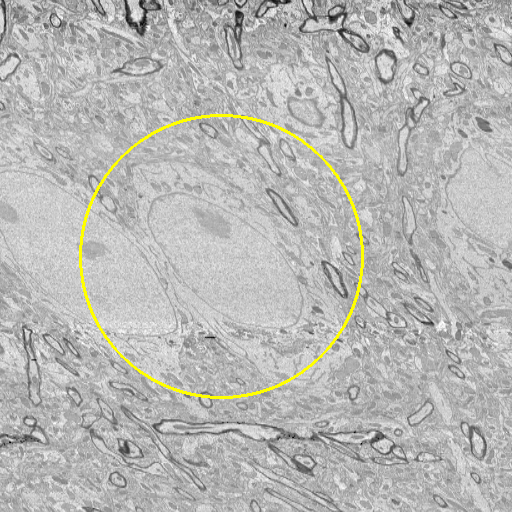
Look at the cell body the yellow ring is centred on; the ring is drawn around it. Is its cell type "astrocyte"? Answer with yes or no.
No, its cell type is another.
